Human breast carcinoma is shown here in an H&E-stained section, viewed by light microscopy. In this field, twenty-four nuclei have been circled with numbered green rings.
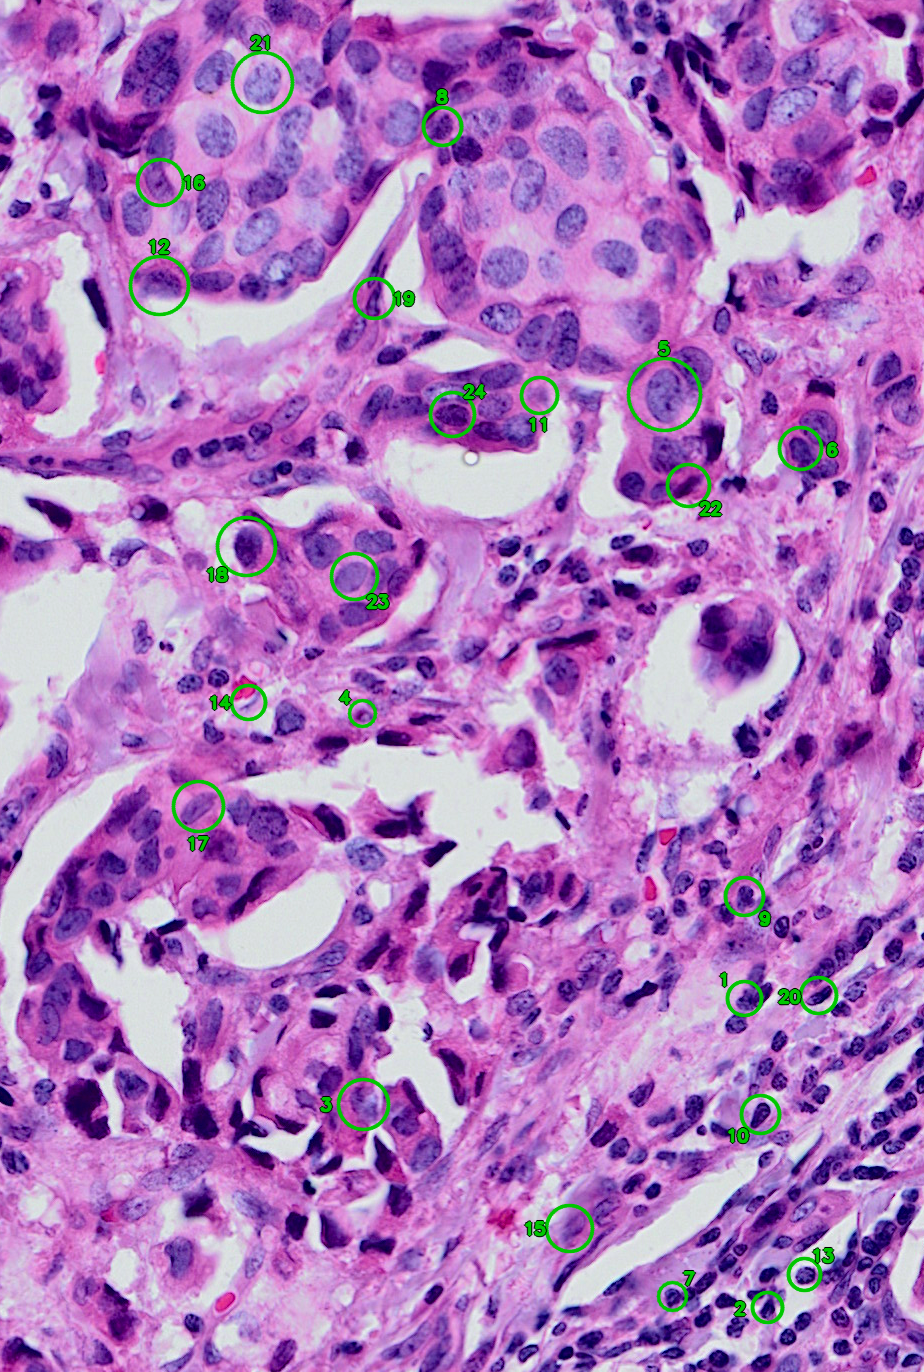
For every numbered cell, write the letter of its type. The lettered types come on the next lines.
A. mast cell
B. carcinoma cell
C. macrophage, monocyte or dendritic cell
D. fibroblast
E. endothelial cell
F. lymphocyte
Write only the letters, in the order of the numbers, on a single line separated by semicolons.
F; F; B; C; B; B; F; B; F; F; B; B; F; E; E; B; B; B; E; F; B; B; B; B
